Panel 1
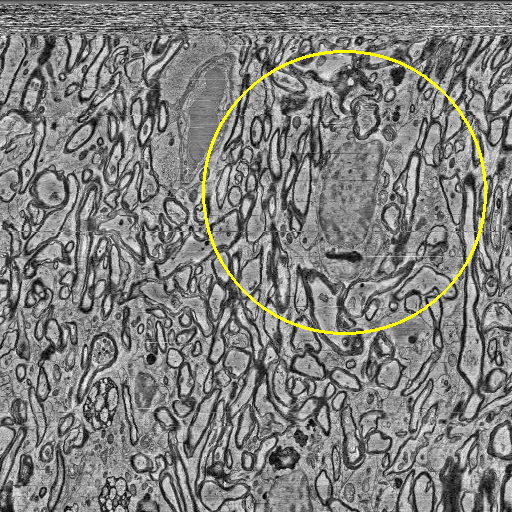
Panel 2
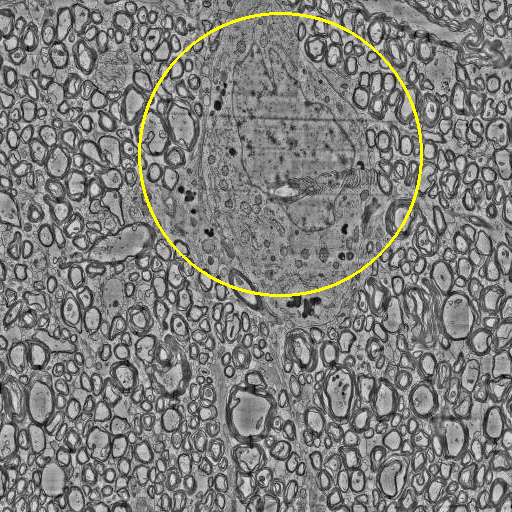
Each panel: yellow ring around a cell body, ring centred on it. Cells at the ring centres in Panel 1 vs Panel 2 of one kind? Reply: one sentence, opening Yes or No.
No, Panel 1 and Panel 2 have cells of two kinds at the ring centres.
